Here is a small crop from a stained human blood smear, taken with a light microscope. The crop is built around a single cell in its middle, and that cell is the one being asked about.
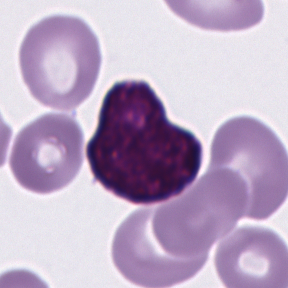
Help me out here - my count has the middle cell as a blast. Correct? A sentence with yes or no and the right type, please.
Yes, the cell in the middle is recognised as a blast.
